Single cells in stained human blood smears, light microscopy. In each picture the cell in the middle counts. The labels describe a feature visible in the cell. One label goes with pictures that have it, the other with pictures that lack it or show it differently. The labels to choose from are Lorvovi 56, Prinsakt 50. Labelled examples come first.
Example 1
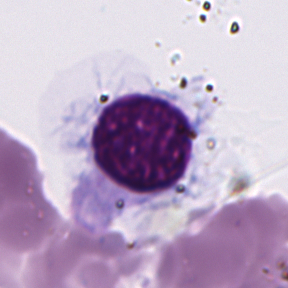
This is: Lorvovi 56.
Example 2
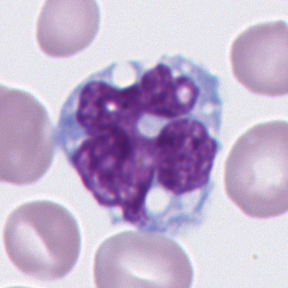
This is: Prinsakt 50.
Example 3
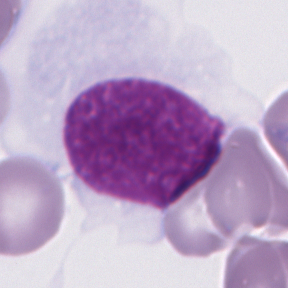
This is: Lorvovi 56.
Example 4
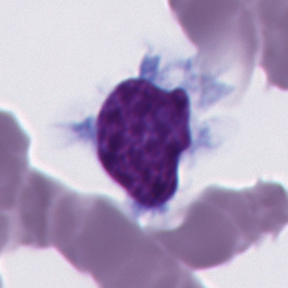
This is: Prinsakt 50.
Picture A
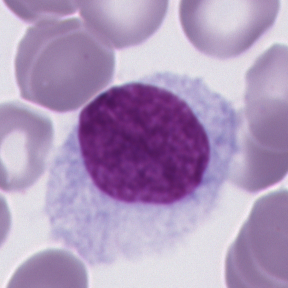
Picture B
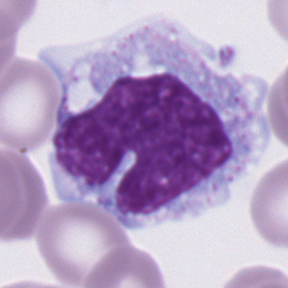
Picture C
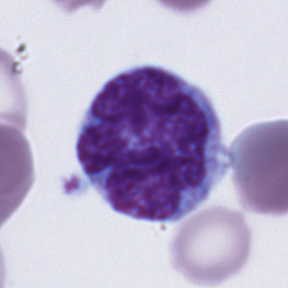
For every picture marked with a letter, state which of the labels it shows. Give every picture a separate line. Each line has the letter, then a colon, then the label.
A: Lorvovi 56.
B: Lorvovi 56.
C: Prinsakt 50.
